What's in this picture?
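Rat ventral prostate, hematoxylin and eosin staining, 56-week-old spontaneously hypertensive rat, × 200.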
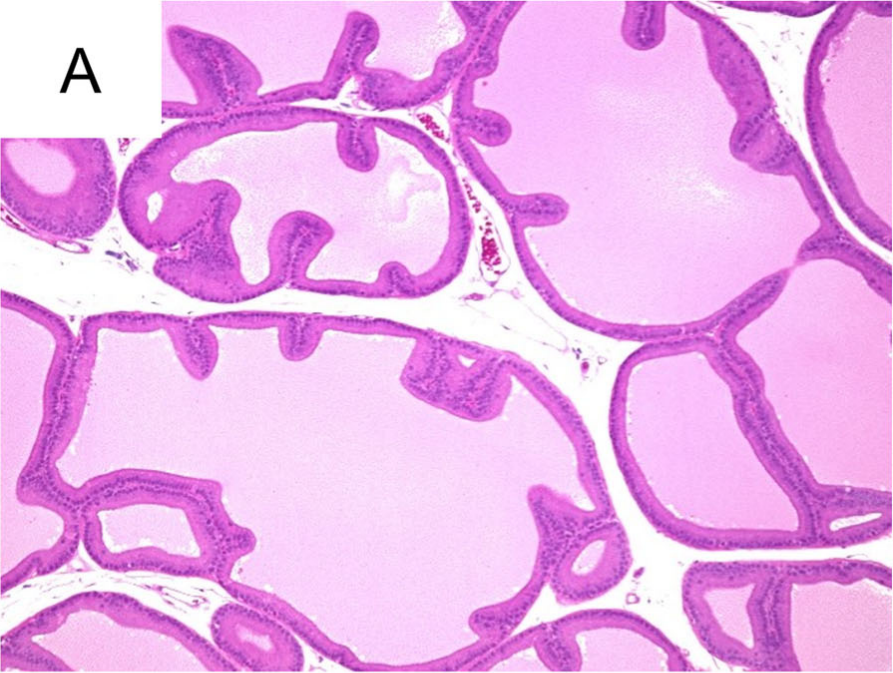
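The epithelium forms numerous short infoldings and papillary projections that extend into the lumens, some bridging to form small secondary spaces. The lumens are filled with homogeneous, pale to deep pink secretion. Between the acini lies a narrow, loose stroma of thin pale strands with scattered spindle-shaped nuclei and small blood vessels containing red blood cells. No inflammatory infiltrate is evident.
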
